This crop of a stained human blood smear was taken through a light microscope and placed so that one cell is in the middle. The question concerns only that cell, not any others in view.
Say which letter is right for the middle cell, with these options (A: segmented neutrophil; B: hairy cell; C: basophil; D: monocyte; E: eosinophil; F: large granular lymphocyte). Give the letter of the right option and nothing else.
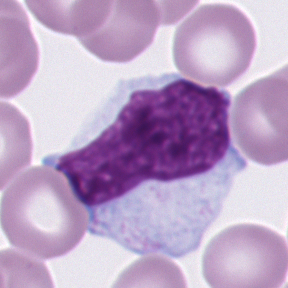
D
